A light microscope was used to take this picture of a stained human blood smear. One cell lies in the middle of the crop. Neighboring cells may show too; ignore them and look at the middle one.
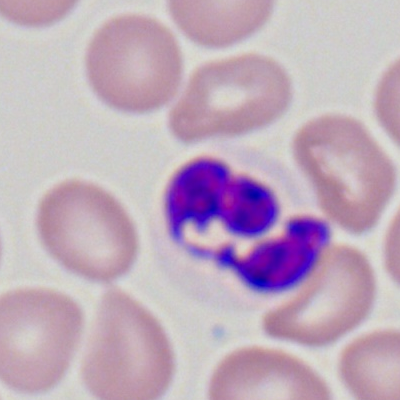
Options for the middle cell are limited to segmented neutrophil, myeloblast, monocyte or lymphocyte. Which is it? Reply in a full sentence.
The cell around which this crop is centred is a segmented neutrophil.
